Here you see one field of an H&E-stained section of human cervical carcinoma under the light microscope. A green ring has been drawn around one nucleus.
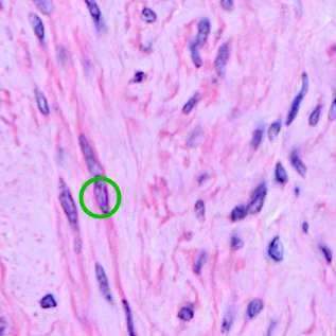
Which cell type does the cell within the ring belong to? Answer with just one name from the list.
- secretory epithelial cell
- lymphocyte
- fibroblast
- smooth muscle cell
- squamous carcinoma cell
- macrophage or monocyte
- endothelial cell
smooth muscle cell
